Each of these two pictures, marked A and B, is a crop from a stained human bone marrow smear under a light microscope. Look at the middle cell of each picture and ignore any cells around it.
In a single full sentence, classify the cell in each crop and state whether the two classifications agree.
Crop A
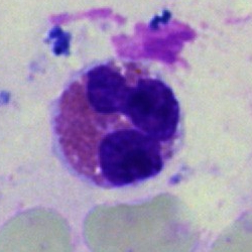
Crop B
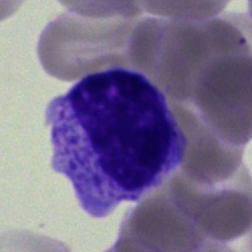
No, crop A presents an eosinophil; crop B presents a myelocyte.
